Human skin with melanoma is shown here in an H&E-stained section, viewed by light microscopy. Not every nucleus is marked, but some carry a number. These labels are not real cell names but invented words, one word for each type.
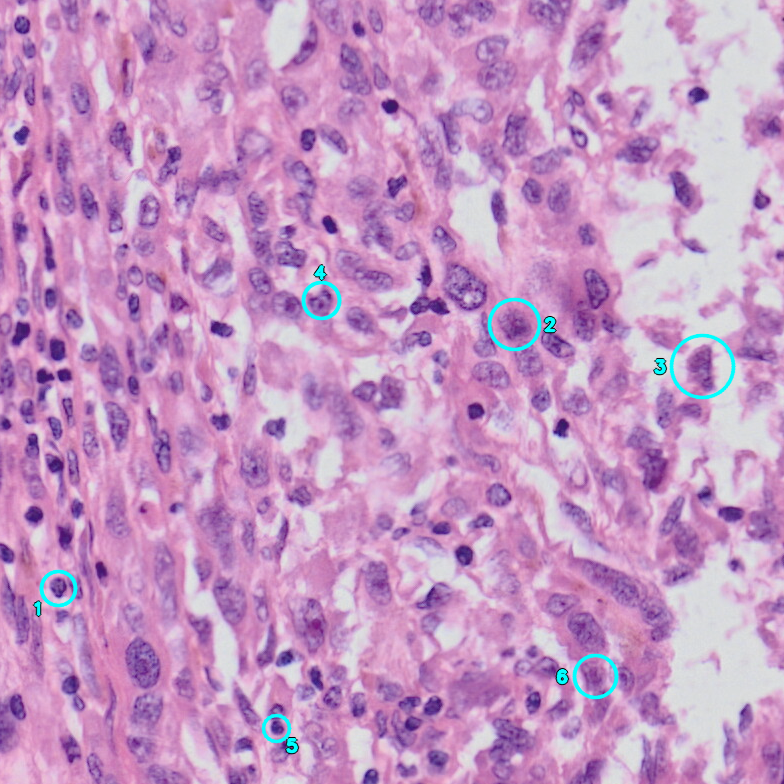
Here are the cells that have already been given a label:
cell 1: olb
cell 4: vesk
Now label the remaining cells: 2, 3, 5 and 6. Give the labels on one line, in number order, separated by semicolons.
vesk; vesk; olb; vesk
